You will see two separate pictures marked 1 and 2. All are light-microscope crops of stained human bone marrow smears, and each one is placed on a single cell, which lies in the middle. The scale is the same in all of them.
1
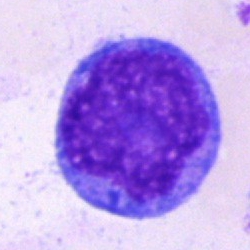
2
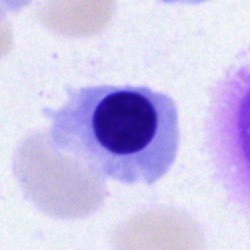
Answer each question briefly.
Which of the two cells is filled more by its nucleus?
1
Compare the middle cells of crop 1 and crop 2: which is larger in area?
1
